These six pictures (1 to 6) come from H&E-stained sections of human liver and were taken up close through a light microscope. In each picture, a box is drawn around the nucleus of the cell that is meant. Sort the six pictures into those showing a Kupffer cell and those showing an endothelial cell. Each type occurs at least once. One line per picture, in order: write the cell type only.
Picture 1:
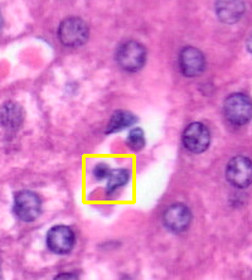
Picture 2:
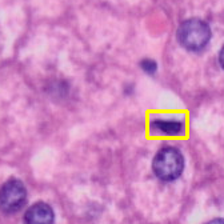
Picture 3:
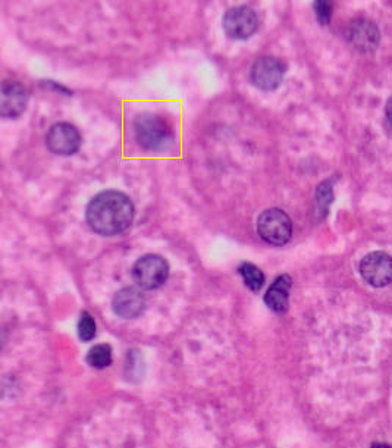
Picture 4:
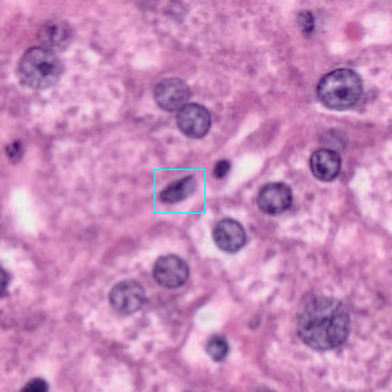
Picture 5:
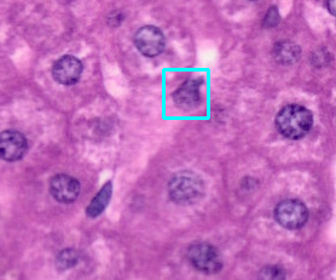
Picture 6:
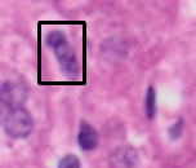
Kupffer cell
endothelial cell
endothelial cell
endothelial cell
endothelial cell
Kupffer cell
